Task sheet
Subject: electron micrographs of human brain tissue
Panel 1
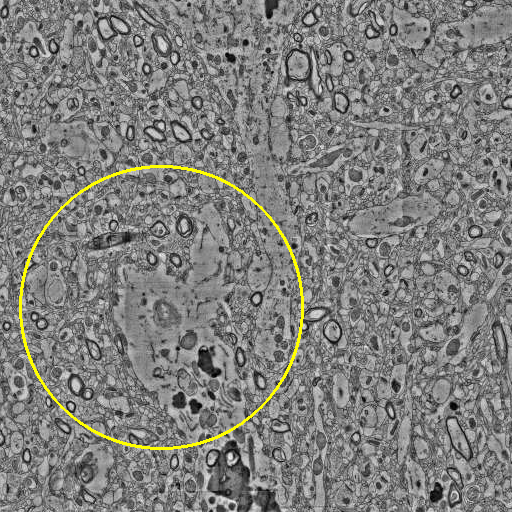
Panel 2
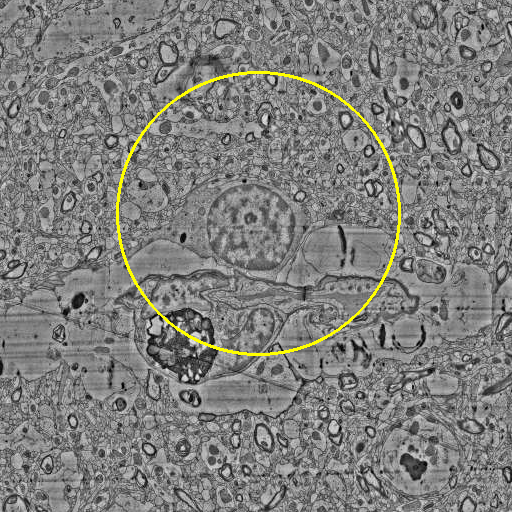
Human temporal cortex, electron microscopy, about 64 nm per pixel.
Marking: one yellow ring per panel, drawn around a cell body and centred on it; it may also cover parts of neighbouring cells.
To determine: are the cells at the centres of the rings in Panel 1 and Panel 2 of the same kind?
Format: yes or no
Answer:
no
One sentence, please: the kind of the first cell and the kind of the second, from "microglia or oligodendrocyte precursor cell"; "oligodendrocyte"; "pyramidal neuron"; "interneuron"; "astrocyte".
The ring in the first picture surrounds an astrocyte, and the ring in the second surrounds an oligodendrocyte.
